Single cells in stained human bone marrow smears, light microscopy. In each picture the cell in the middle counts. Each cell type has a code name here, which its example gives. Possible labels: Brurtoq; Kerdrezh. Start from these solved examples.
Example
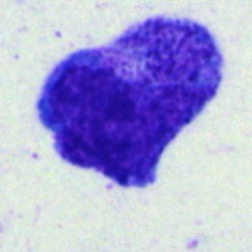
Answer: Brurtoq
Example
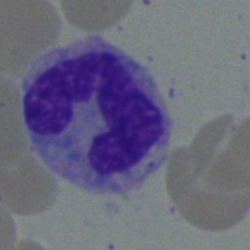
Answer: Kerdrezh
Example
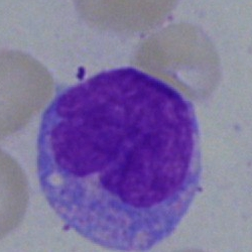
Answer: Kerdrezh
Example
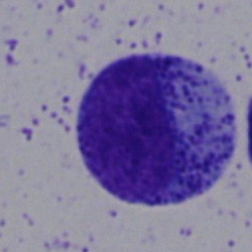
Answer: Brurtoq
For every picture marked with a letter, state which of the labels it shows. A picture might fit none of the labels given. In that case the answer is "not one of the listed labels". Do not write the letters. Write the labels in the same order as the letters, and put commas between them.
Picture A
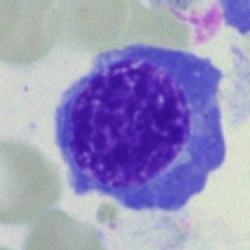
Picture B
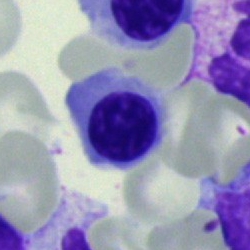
not one of the listed labels, not one of the listed labels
